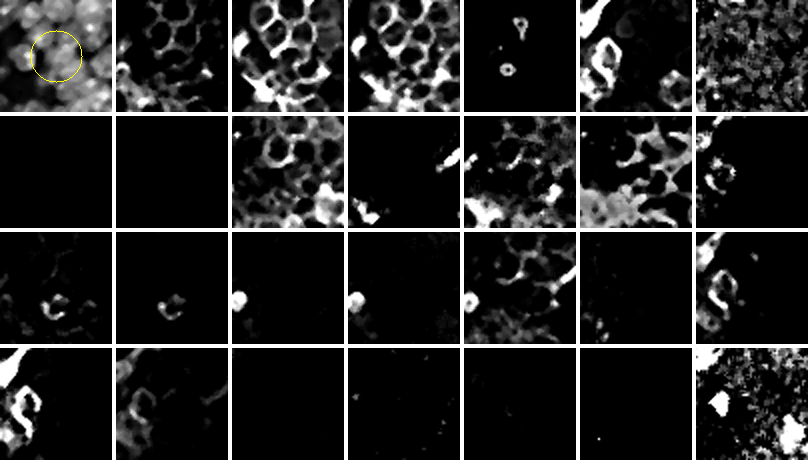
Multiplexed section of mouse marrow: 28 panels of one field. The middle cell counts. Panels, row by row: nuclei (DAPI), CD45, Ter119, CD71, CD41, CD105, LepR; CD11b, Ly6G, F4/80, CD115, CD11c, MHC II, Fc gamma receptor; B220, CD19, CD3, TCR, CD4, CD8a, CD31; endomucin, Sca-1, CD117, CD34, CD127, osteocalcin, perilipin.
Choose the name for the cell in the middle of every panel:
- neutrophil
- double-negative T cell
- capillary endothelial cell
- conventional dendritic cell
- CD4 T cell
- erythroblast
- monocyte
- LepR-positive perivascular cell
erythroblast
